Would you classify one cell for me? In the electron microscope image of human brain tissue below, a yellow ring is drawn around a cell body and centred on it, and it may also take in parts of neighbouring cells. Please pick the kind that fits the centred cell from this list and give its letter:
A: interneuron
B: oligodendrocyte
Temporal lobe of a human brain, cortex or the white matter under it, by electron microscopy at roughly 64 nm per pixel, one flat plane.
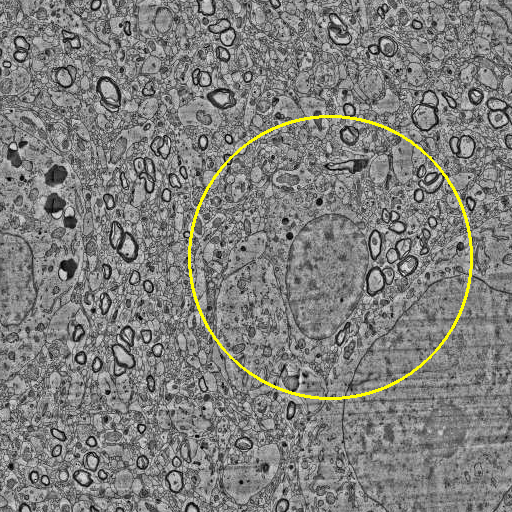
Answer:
B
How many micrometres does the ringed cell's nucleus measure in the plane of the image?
The nucleus appears roughly 8 by 5 micrometres in this plane.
